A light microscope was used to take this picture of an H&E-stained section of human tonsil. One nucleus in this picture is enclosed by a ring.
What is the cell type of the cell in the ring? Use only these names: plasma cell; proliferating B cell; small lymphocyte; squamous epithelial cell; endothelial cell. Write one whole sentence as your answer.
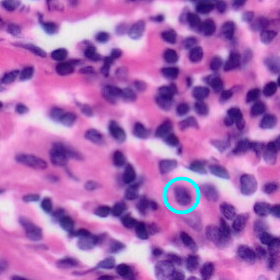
In the context of this tissue, the cell in the ring is an endothelial cell.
